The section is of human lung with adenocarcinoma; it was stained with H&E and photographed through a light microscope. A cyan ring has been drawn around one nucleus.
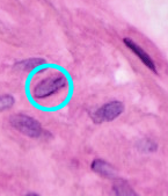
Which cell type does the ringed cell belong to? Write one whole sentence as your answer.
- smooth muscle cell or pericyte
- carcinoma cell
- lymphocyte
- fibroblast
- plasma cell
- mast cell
By its classification, the ringed cell is a smooth muscle cell or pericyte.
